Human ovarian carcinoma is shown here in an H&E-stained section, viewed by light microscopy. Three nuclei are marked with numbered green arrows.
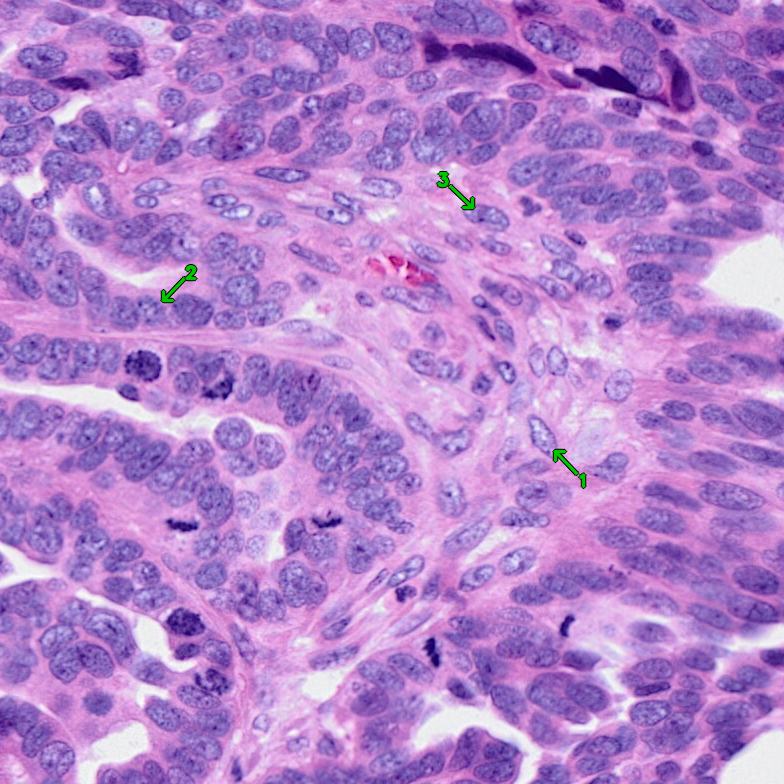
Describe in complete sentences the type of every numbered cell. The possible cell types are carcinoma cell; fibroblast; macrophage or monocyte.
Cells 1 and 3 are fibroblasts. Cell 2 is a carcinoma cell.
